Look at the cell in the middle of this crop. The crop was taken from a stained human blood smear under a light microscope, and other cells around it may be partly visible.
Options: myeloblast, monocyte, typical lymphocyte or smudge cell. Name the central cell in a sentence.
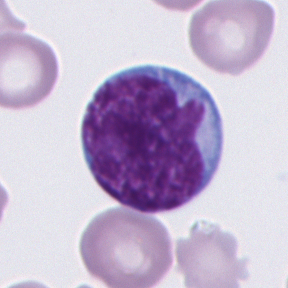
Regarding the central cell, it is a myeloblast.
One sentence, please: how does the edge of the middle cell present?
In short, the margin is smooth with no projections at all.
